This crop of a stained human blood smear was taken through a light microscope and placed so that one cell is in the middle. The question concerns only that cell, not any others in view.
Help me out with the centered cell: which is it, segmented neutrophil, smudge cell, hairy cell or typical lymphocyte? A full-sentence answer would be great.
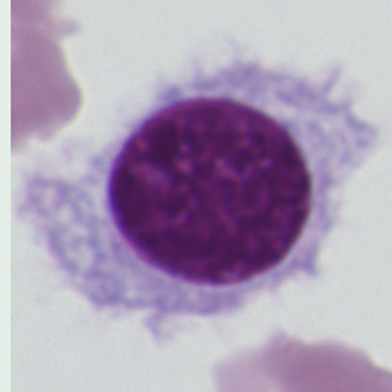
The middle position in this crop is taken by a hairy cell.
